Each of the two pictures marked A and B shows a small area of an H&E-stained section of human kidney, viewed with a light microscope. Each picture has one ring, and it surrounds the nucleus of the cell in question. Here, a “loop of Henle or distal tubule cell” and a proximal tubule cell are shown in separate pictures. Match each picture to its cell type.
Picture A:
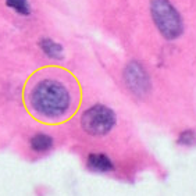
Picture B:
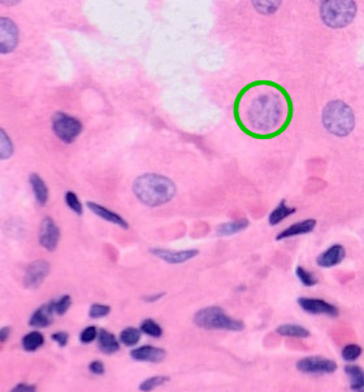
A: loop of Henle or distal tubule cell
B: proximal tubule cell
